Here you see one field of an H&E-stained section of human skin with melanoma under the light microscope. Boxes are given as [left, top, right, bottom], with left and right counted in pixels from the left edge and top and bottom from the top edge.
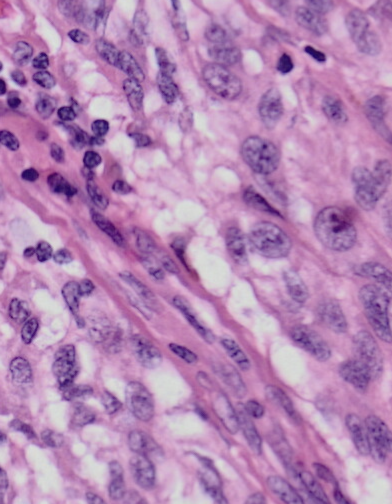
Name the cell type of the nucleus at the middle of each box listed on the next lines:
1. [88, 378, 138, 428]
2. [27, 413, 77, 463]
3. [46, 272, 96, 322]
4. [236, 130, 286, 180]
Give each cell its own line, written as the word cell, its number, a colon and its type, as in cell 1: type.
cell 1: melanoma cell
cell 2: melanoma cell
cell 3: macrophage or monocyte
cell 4: melanoma cell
